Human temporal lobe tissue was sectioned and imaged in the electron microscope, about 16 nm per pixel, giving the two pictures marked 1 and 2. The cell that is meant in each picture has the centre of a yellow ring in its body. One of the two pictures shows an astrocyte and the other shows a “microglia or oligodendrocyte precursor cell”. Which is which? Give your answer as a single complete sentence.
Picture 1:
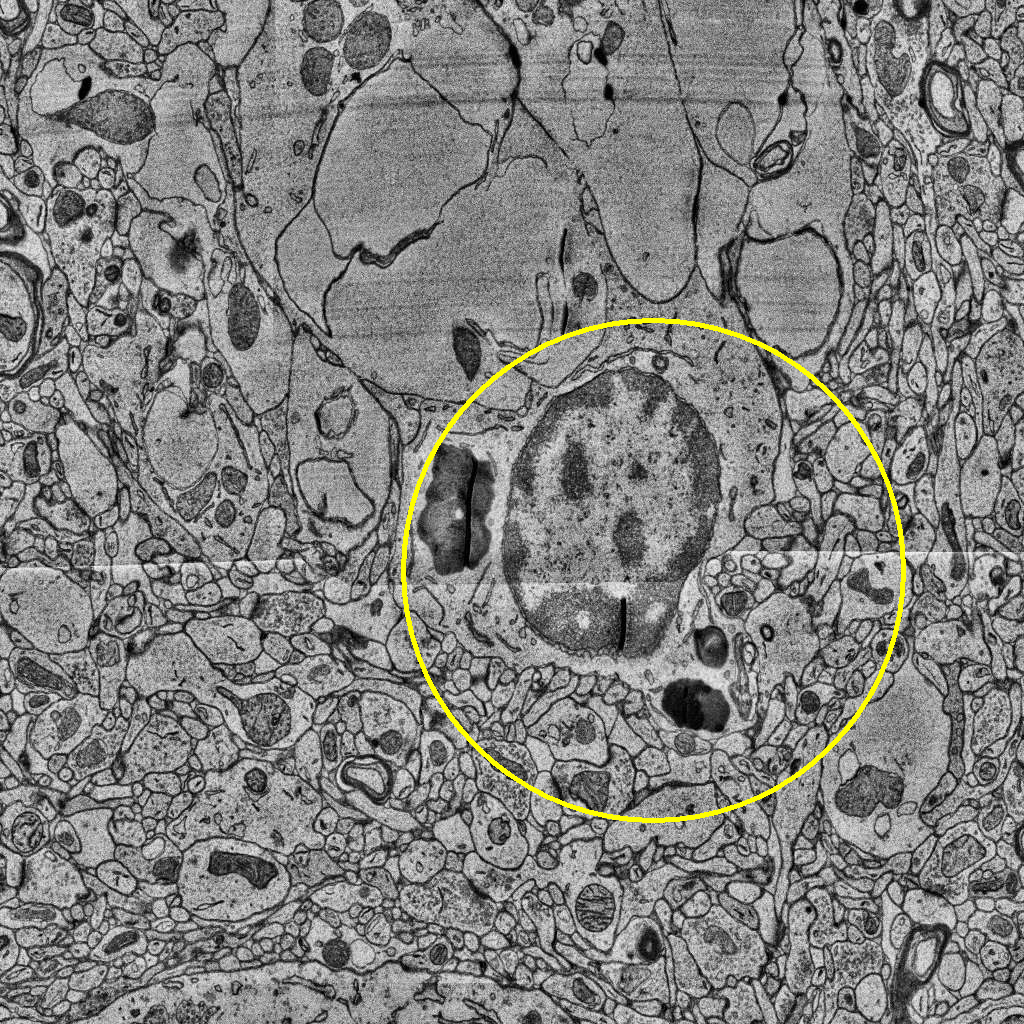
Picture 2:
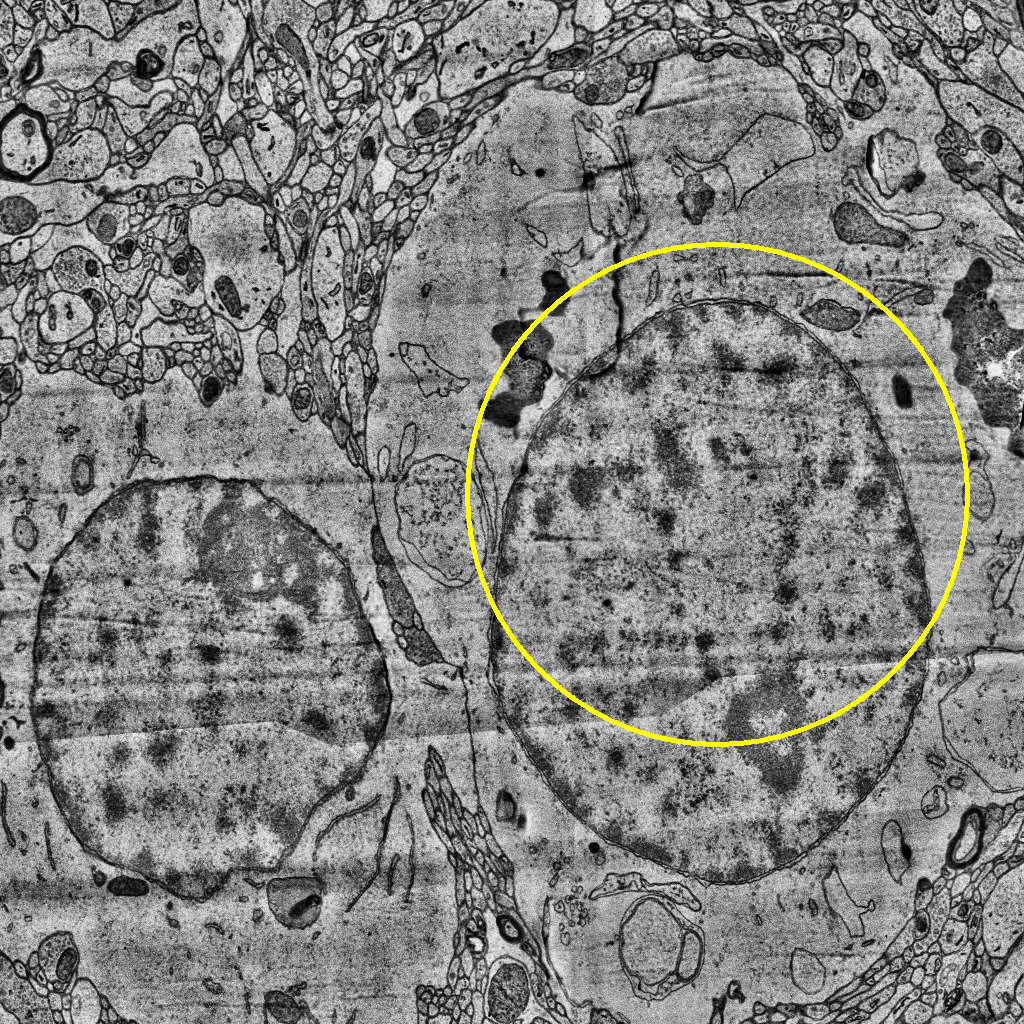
Picture 1 shows a “microglia or oligodendrocyte precursor cell” and picture 2 shows an astrocyte.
